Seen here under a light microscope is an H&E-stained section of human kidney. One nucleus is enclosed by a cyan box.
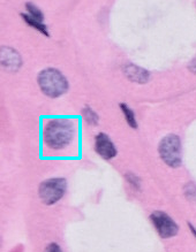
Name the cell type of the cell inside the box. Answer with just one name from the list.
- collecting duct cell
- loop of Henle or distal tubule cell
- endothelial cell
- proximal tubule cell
loop of Henle or distal tubule cell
